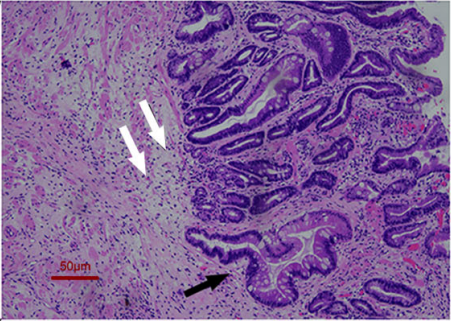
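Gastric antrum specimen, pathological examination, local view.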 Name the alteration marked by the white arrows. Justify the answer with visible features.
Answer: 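Completely atrophied. The white arrows point to pale pink fibrous stroma in the deep part of the section. No glands are present in the area the white arrows point to.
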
